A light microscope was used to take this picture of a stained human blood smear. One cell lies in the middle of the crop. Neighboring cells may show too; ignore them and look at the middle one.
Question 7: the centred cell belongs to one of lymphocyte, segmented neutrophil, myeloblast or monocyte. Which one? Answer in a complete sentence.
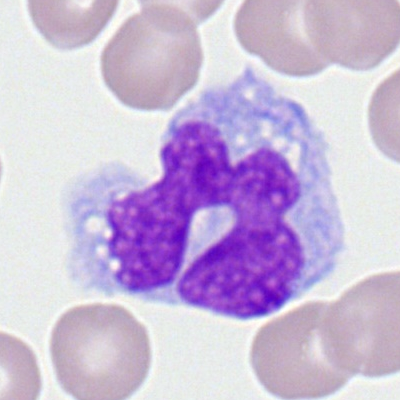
In the centre of this crop there is a monocyte.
